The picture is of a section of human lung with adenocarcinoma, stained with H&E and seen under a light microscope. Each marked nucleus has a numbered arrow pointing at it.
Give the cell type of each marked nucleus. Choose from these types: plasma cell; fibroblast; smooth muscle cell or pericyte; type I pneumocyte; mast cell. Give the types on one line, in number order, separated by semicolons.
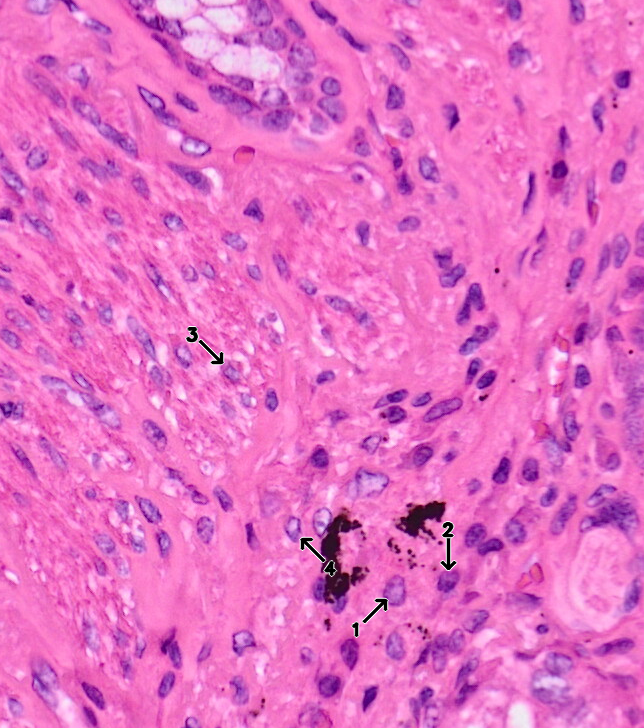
fibroblast; plasma cell; smooth muscle cell or pericyte; fibroblast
